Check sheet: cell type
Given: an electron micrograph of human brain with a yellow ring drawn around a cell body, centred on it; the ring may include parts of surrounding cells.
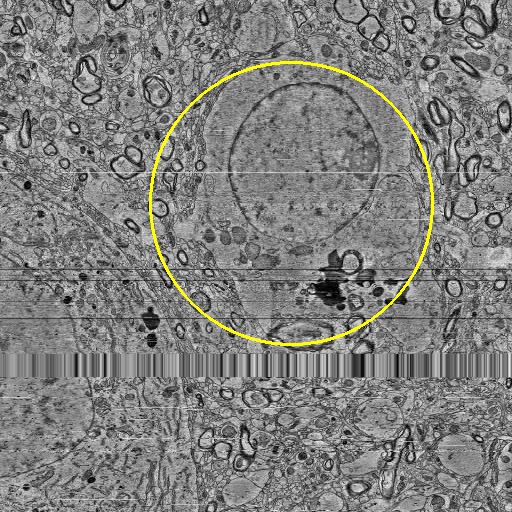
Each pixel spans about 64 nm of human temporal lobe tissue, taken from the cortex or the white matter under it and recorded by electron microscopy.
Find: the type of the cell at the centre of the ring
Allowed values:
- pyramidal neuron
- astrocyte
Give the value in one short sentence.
Here the ringed cell is an astrocyte.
